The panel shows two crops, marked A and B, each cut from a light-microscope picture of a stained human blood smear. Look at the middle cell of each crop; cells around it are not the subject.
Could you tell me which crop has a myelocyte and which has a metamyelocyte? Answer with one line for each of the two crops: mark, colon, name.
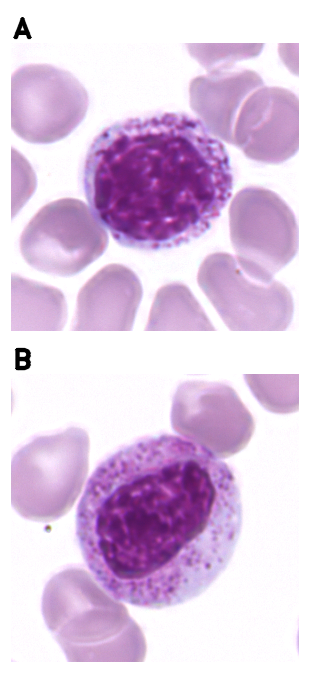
A: metamyelocyte
B: myelocyte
